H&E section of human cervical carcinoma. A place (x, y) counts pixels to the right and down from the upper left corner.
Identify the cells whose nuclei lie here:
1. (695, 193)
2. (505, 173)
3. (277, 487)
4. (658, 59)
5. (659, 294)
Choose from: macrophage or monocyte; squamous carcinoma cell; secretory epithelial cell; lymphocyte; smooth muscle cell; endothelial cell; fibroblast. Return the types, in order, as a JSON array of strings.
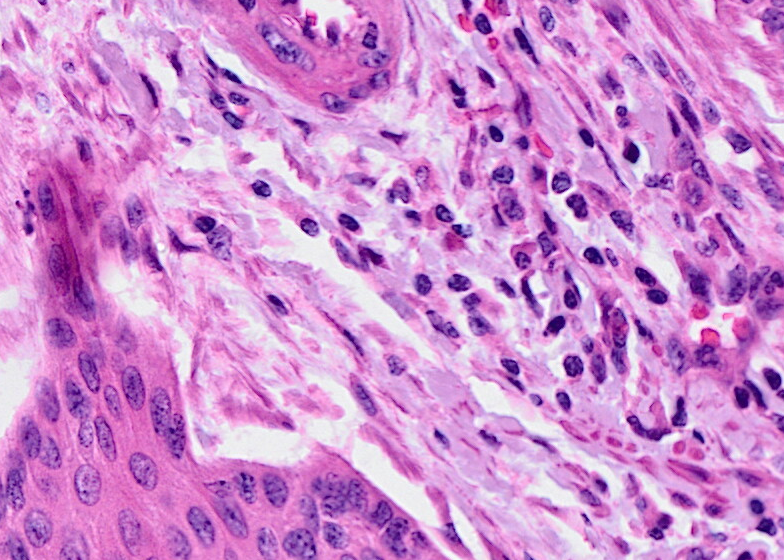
["endothelial cell", "lymphocyte", "squamous carcinoma cell", "fibroblast", "lymphocyte"]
